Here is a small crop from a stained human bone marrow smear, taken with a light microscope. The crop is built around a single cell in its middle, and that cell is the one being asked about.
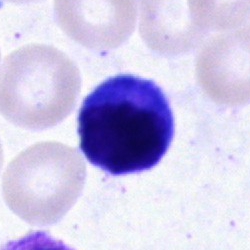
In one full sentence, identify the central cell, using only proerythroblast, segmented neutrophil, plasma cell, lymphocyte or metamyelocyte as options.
Occupying the centre of the crop is a lymphocyte.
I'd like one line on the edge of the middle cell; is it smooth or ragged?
The edge of the cell is unbroken and smooth, bearing no projections.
